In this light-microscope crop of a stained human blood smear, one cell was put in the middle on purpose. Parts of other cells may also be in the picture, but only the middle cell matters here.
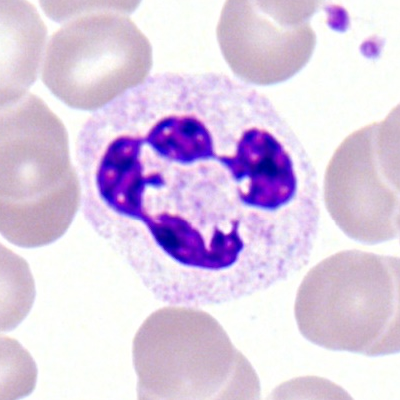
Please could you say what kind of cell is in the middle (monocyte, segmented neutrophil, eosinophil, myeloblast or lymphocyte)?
segmented neutrophil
